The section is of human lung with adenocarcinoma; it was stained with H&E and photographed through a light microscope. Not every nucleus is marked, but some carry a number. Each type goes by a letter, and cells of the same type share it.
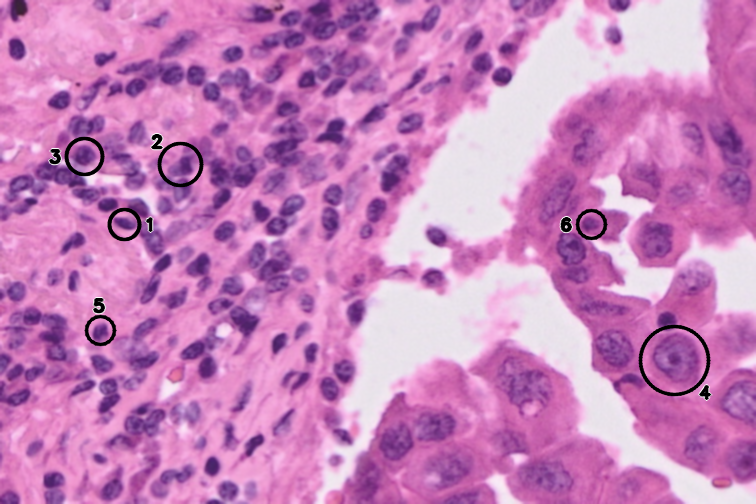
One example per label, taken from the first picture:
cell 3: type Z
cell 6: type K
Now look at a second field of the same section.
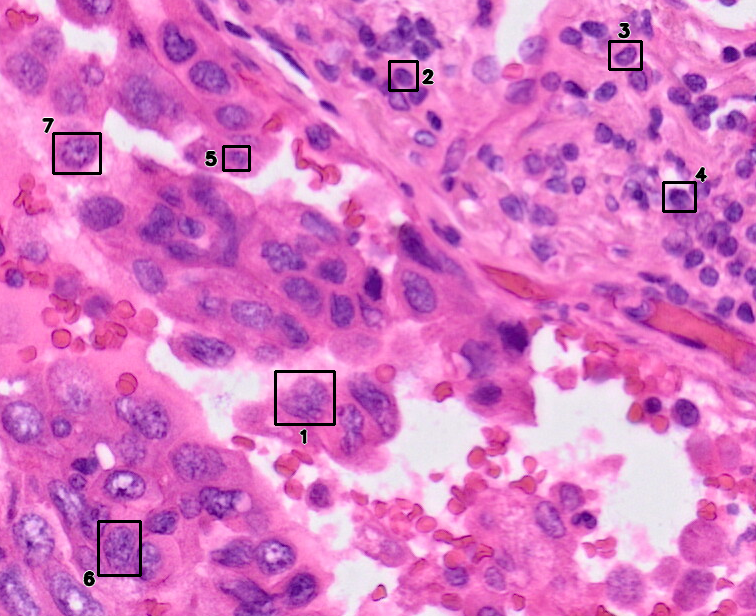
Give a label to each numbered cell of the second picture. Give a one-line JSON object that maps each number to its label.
{"1": "type K", "2": "type Z", "3": "type Z", "4": "type Z", "5": "type K", "6": "type K", "7": "type K"}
